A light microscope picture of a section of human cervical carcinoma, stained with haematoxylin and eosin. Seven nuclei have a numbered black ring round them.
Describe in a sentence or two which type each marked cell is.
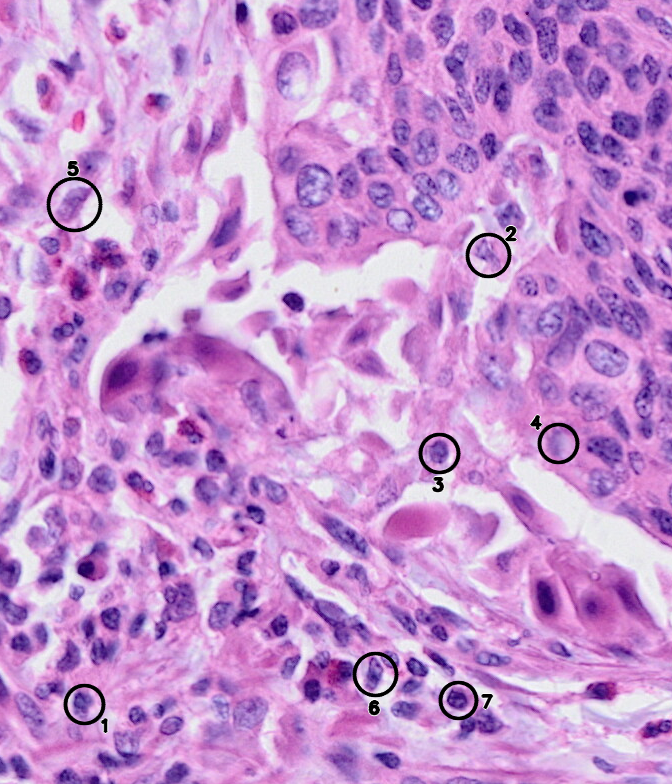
Cells 1, 6 and 7 are lymphocytes. Cells 2 and 3 are macrophages or monocytes. Cell 4 is a squamous carcinoma cell. Cell 5 is a fibroblast.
